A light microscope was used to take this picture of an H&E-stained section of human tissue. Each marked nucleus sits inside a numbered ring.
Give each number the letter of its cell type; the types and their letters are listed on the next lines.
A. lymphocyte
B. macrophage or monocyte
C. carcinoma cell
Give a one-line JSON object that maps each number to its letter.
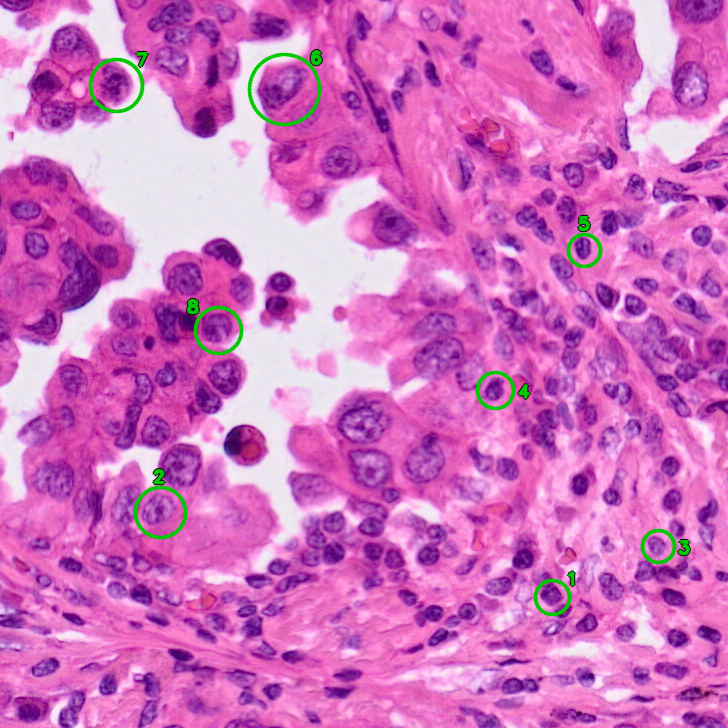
{"1": "A", "2": "C", "3": "A", "4": "A", "5": "A", "6": "C", "7": "C", "8": "C"}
